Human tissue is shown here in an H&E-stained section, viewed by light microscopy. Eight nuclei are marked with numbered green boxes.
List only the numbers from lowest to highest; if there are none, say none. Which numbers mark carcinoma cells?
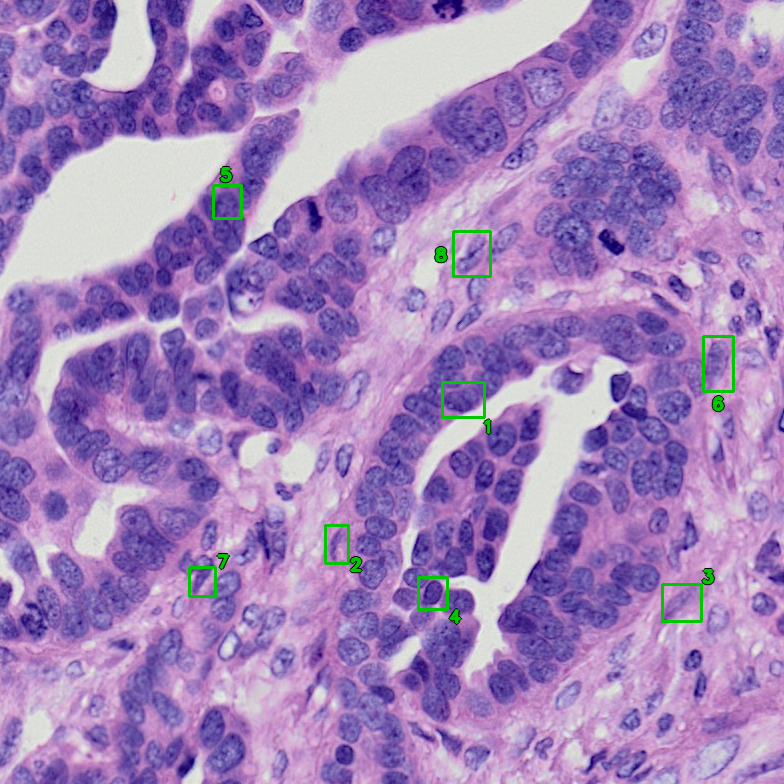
1, 4, 5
